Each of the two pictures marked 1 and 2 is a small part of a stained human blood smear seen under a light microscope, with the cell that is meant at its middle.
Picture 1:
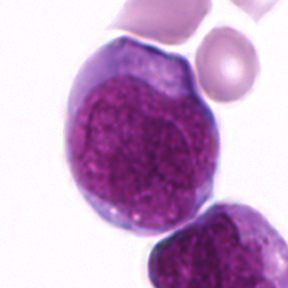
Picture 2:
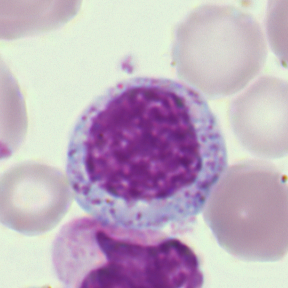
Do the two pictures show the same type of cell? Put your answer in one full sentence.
No; the cell in picture 1 is an atypical promyelocyte, while the one in picture 2 is a myelocyte.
